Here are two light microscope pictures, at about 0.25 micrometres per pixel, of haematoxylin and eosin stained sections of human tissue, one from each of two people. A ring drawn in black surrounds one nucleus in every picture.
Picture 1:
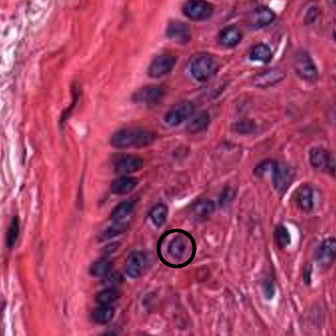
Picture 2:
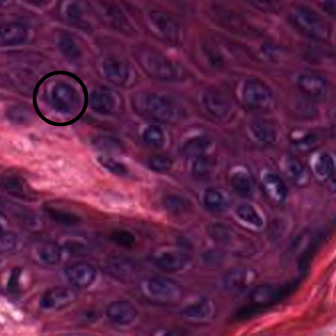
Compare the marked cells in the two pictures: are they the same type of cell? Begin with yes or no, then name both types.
Yes, both are keratinocytes.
